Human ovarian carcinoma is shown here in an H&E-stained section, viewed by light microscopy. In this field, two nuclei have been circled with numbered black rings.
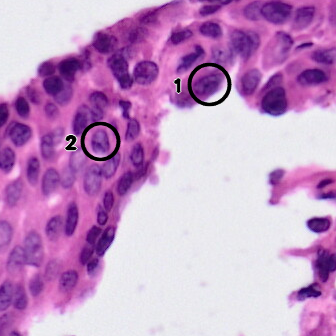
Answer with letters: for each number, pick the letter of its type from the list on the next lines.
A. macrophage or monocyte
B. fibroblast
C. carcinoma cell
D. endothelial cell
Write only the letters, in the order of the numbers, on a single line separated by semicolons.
C; A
